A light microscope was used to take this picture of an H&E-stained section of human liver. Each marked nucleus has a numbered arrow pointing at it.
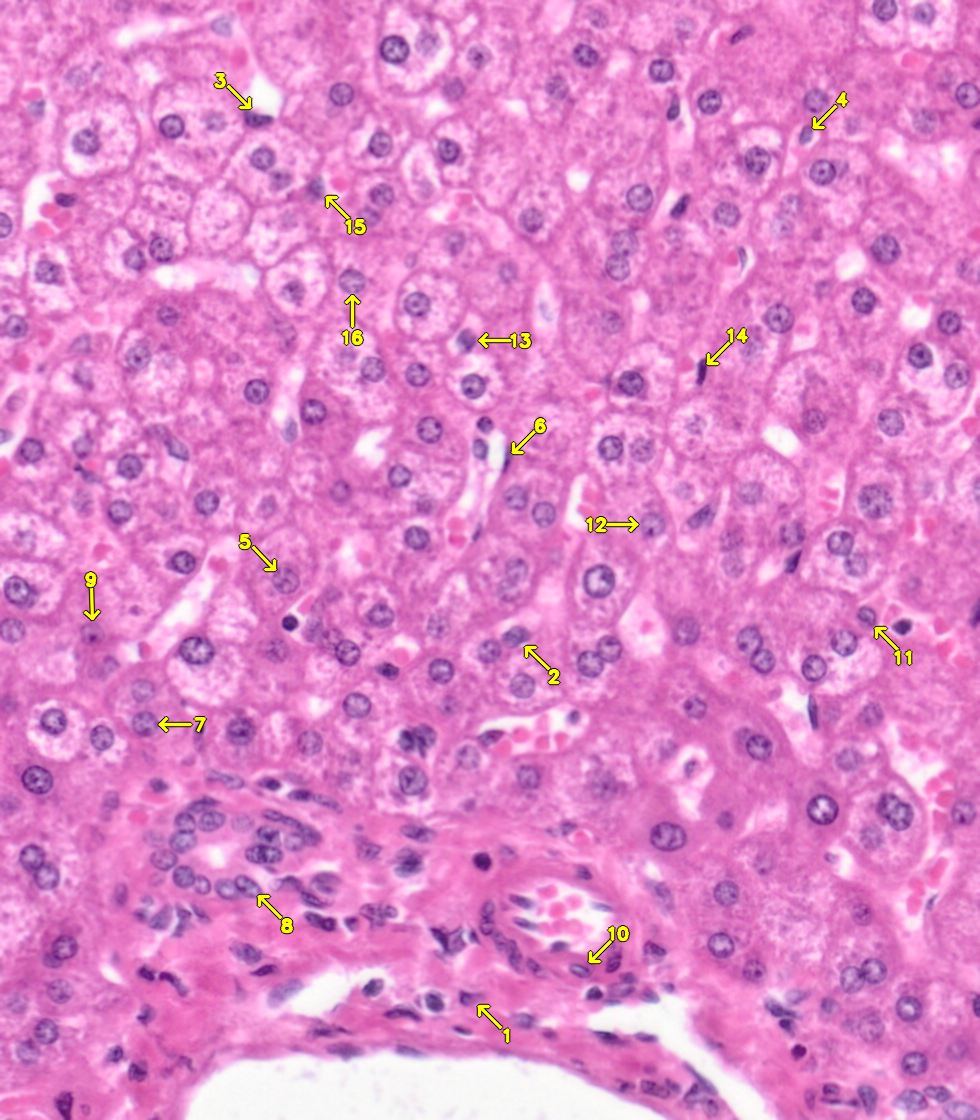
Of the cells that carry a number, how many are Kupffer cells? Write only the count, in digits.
1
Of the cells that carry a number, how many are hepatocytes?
5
